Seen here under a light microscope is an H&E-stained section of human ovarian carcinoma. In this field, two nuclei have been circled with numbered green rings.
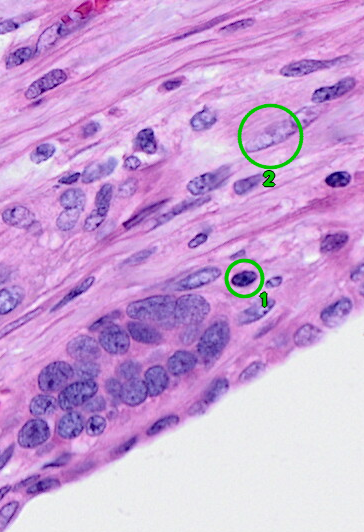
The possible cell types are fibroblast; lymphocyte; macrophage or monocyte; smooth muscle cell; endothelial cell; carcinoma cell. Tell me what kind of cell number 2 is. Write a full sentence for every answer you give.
The cell carrying label 2 is identified as a fibroblast.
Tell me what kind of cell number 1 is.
The nucleus labelled 1 belongs to a lymphocyte.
